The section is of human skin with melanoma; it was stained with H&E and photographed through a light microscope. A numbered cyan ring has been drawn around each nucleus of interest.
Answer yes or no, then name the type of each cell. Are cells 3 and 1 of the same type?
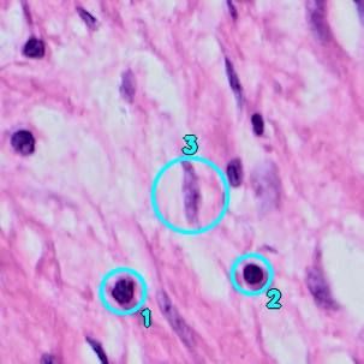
No, hold on, cell 3 is a fibroblast or myofibroblast and cell 1 is a plasma cell.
